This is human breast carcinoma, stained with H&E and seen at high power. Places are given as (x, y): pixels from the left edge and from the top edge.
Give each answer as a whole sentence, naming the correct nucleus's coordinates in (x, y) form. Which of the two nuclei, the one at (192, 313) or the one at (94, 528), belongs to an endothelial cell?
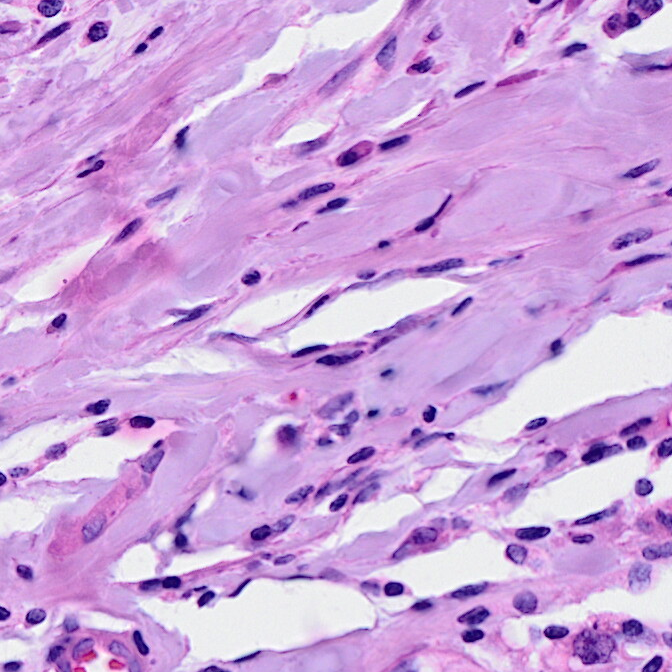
Located at (94, 528), this nucleus is the one belonging to an endothelial cell.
